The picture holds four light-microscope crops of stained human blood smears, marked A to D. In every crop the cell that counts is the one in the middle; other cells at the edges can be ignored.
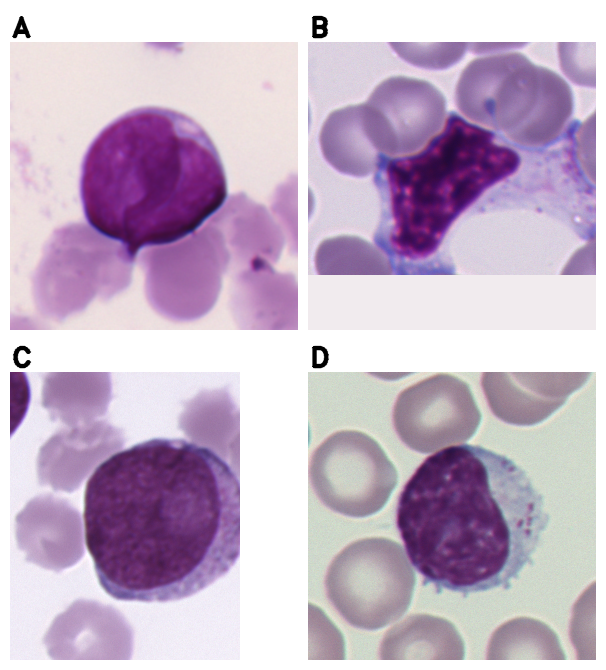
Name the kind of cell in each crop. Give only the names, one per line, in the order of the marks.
blast
large granular lymphocyte
myelocyte
large granular lymphocyte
